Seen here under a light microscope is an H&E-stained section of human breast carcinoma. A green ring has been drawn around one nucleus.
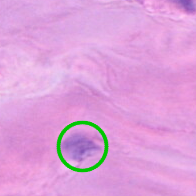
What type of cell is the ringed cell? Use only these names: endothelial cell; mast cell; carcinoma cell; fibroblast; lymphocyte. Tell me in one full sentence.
In cell-type terms, the ringed cell is a fibroblast.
